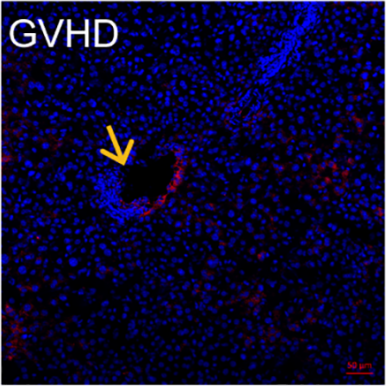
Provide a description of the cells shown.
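This is liver tissue in a fluorescence section, with blue nuclei scattered through solid sheets of liver cells. Near the centre lies a large dark vessel lumen. Red lining is seen only along the right side of the vessel. Elsewhere in the tissue the fine red network between the liver cells is faint and patchy, much weaker than a continuous vascular outline would be.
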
